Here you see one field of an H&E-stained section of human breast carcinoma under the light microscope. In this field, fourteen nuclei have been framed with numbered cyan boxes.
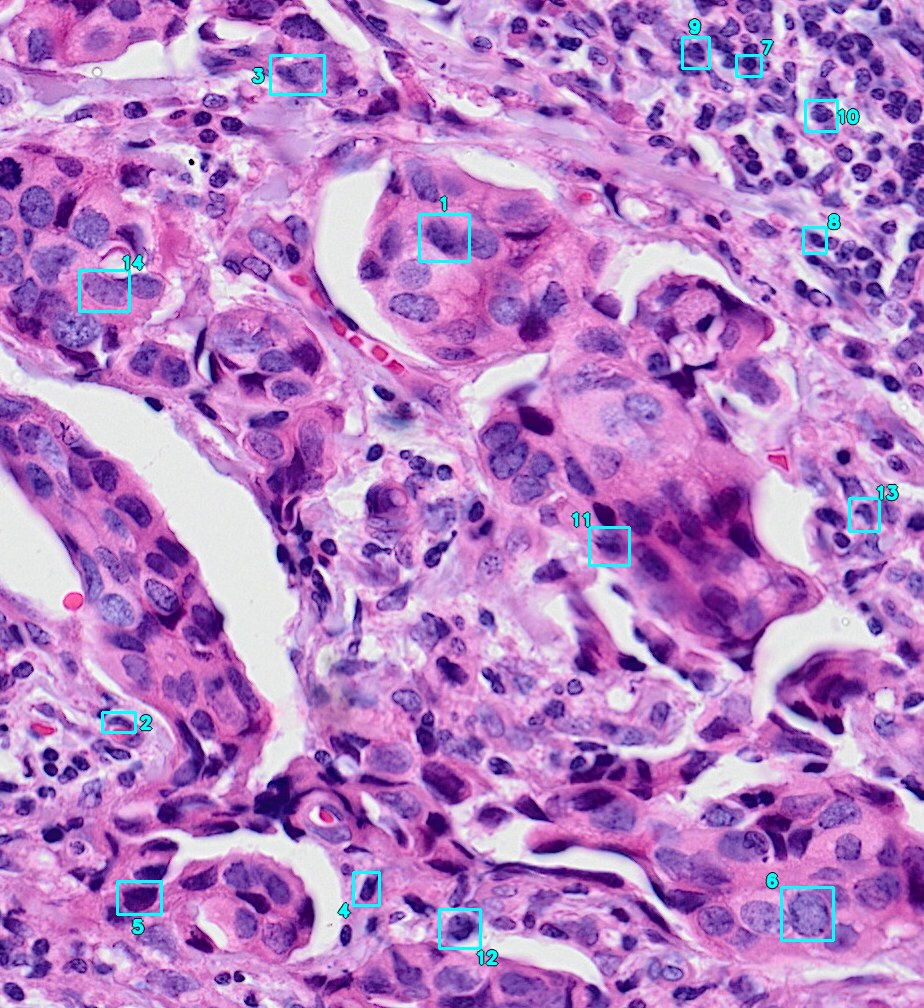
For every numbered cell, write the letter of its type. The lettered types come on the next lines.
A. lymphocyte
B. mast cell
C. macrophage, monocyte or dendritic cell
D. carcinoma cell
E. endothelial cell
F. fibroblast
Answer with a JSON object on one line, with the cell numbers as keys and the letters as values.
{"1": "D", "2": "E", "3": "D", "4": "A", "5": "D", "6": "D", "7": "A", "8": "A", "9": "A", "10": "A", "11": "D", "12": "D", "13": "A", "14": "D"}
